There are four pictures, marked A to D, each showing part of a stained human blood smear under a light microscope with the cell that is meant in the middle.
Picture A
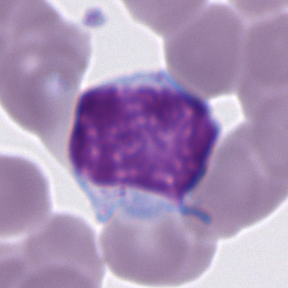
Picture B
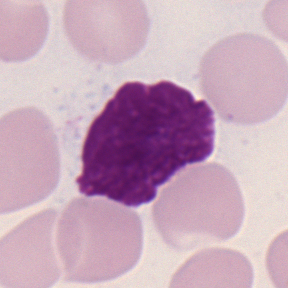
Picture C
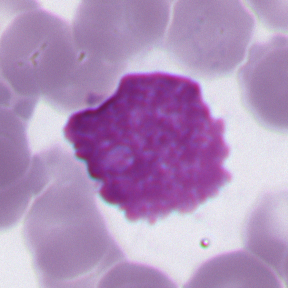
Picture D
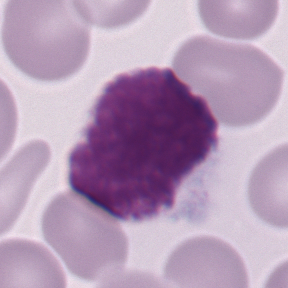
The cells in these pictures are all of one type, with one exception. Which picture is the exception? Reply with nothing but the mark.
A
